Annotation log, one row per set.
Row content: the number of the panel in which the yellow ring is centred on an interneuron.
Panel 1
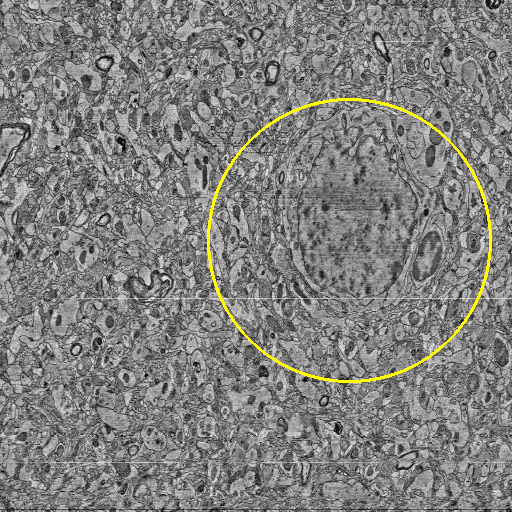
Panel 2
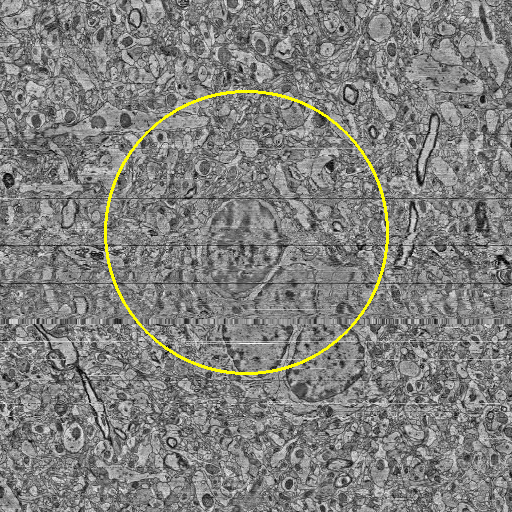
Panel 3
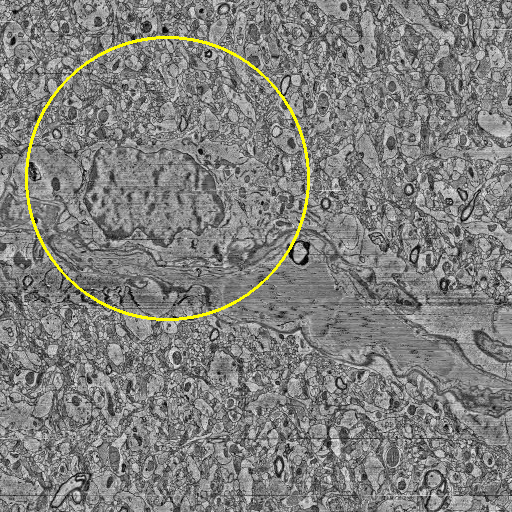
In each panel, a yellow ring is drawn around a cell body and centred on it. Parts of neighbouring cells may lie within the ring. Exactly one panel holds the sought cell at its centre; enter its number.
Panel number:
1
